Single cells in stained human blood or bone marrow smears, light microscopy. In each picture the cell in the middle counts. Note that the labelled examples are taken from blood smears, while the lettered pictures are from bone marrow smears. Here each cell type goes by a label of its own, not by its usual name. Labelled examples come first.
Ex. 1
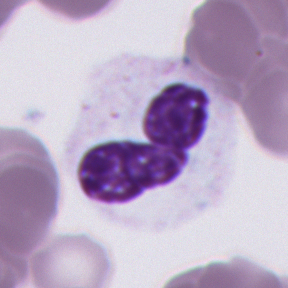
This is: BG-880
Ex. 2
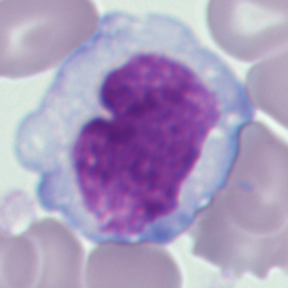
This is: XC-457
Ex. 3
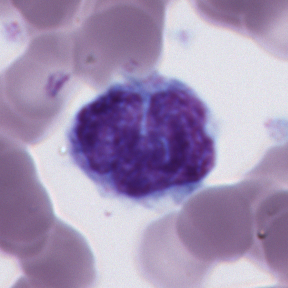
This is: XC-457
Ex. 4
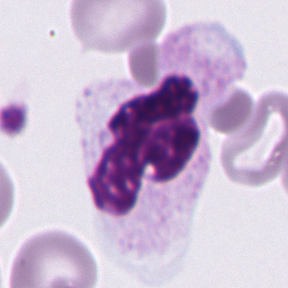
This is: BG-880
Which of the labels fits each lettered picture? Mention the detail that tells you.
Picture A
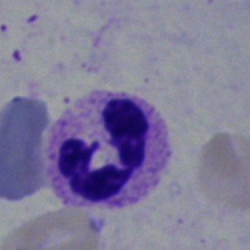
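Answer: BG-880. The cytoplasm is plentiful and pale pinkish-lilac.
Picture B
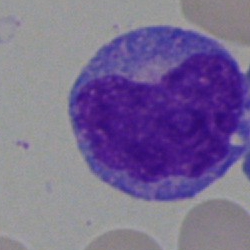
Answer: XC-457. The nucleus fills most of the cell.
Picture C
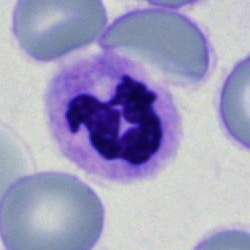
Answer: BG-880. The cytoplasm is plentiful and pale pinkish-lilac.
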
